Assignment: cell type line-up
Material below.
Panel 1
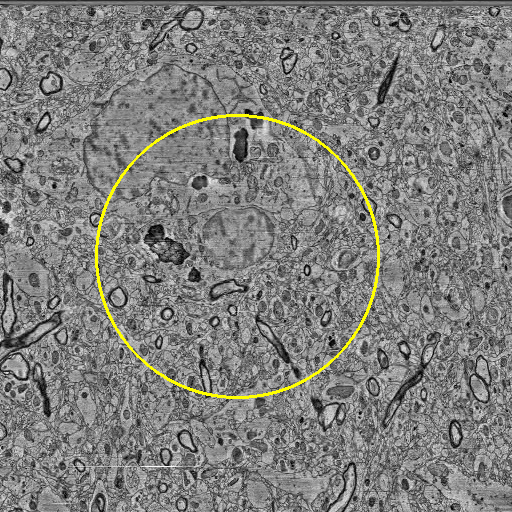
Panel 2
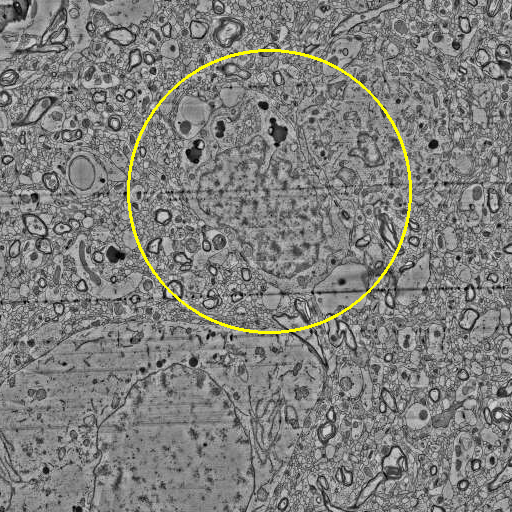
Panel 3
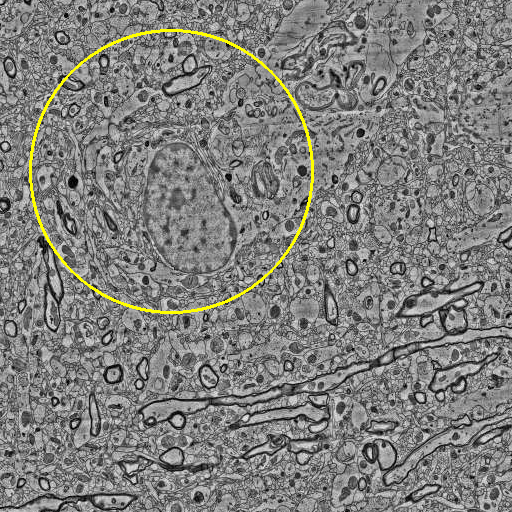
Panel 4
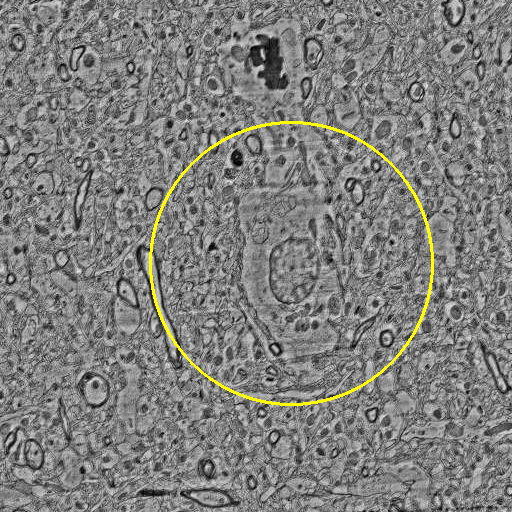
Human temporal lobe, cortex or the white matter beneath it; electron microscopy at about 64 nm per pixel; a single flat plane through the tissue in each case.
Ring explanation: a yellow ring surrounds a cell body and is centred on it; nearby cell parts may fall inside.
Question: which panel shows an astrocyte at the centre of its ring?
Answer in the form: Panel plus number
Panel 4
